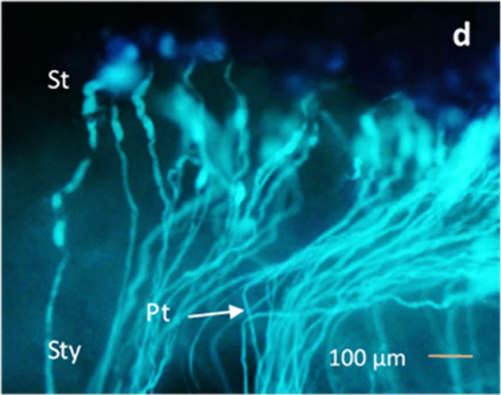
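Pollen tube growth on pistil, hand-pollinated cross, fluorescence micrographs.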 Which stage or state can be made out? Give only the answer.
Long thin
